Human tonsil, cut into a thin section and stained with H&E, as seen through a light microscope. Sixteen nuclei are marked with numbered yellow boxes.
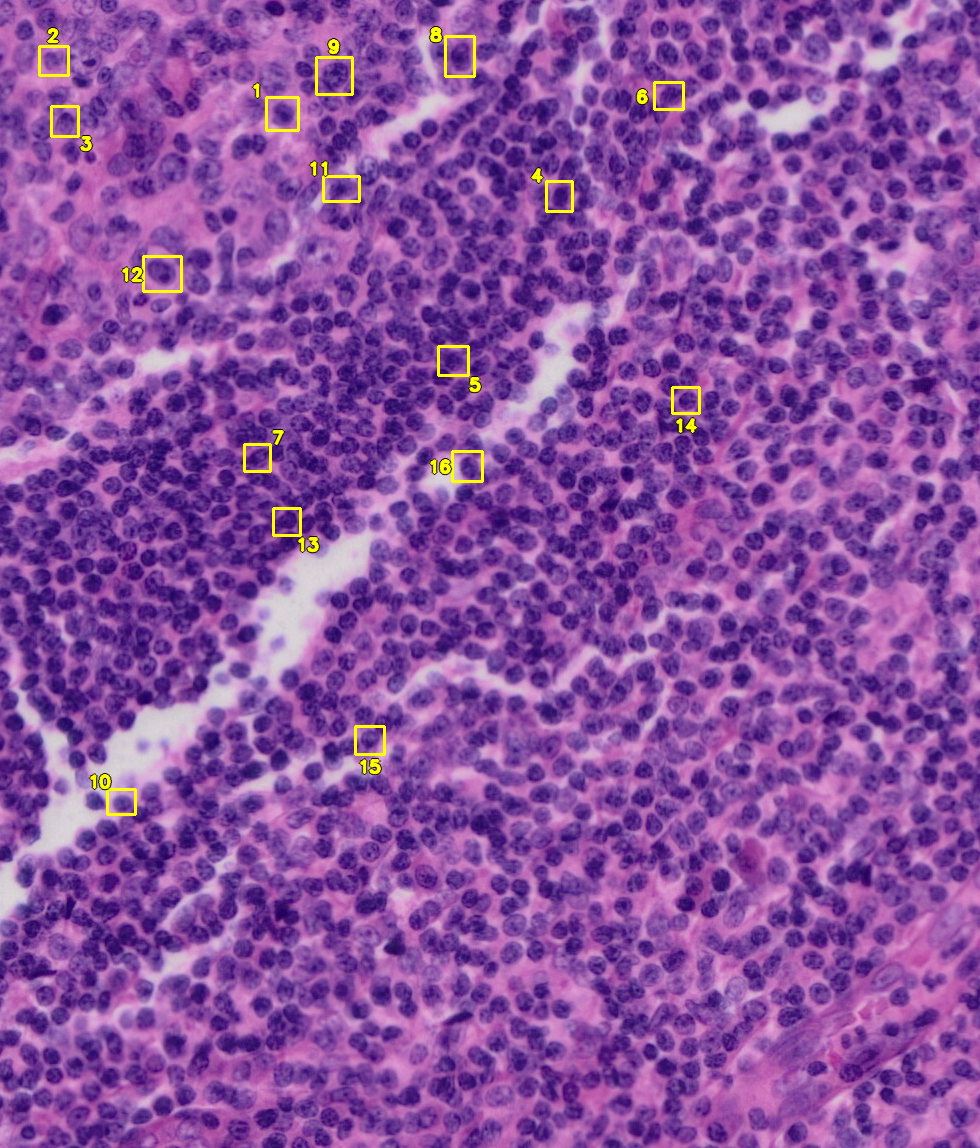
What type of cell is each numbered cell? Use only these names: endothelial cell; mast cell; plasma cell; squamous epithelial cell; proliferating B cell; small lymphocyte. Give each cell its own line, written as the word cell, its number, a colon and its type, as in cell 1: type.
cell 1: proliferating B cell
cell 2: proliferating B cell
cell 3: proliferating B cell
cell 4: small lymphocyte
cell 5: small lymphocyte
cell 6: small lymphocyte
cell 7: small lymphocyte
cell 8: proliferating B cell
cell 9: proliferating B cell
cell 10: small lymphocyte
cell 11: proliferating B cell
cell 12: proliferating B cell
cell 13: small lymphocyte
cell 14: small lymphocyte
cell 15: small lymphocyte
cell 16: small lymphocyte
